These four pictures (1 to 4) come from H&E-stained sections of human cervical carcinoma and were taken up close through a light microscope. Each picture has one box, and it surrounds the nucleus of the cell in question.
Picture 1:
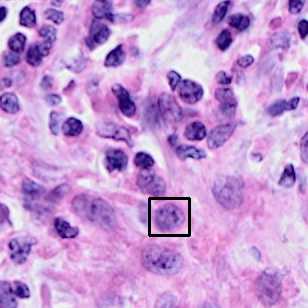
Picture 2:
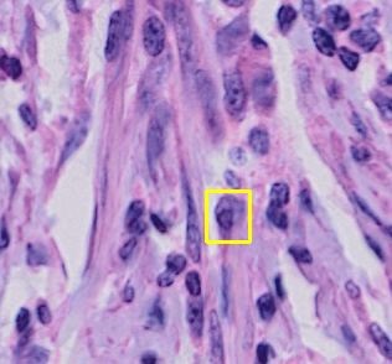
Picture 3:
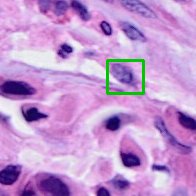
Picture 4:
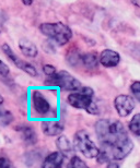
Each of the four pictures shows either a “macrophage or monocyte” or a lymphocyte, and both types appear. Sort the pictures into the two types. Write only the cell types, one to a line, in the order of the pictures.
macrophage or monocyte
macrophage or monocyte
macrophage or monocyte
lymphocyte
